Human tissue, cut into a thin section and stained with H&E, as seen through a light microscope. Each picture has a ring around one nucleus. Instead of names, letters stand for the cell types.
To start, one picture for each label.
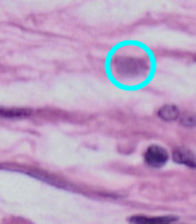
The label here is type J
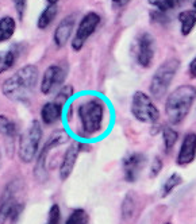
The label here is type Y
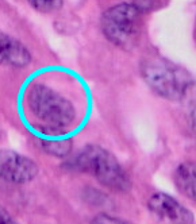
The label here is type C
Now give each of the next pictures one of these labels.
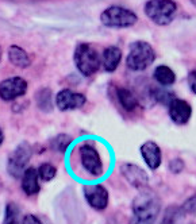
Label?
type Y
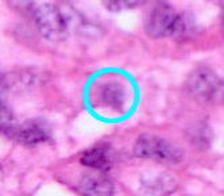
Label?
type C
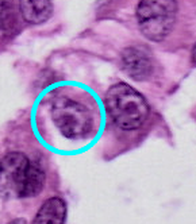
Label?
type C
